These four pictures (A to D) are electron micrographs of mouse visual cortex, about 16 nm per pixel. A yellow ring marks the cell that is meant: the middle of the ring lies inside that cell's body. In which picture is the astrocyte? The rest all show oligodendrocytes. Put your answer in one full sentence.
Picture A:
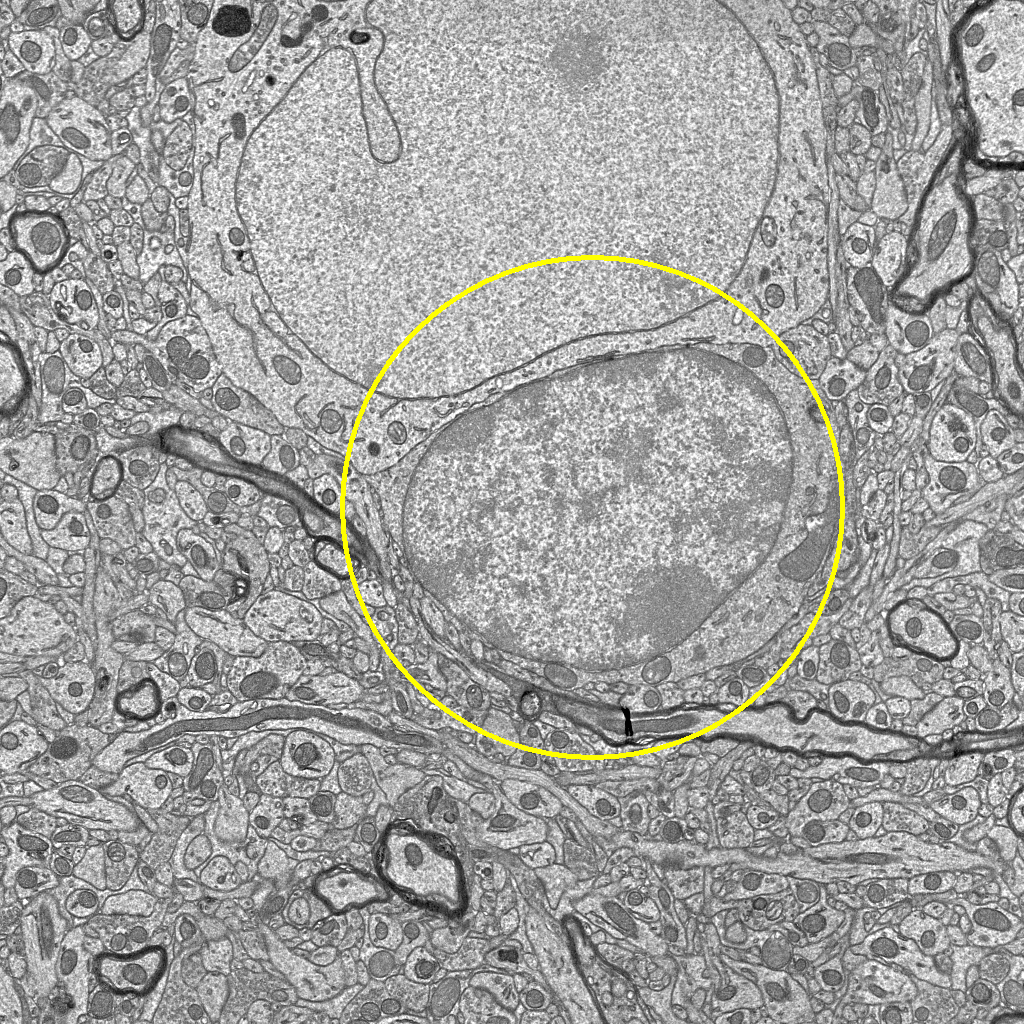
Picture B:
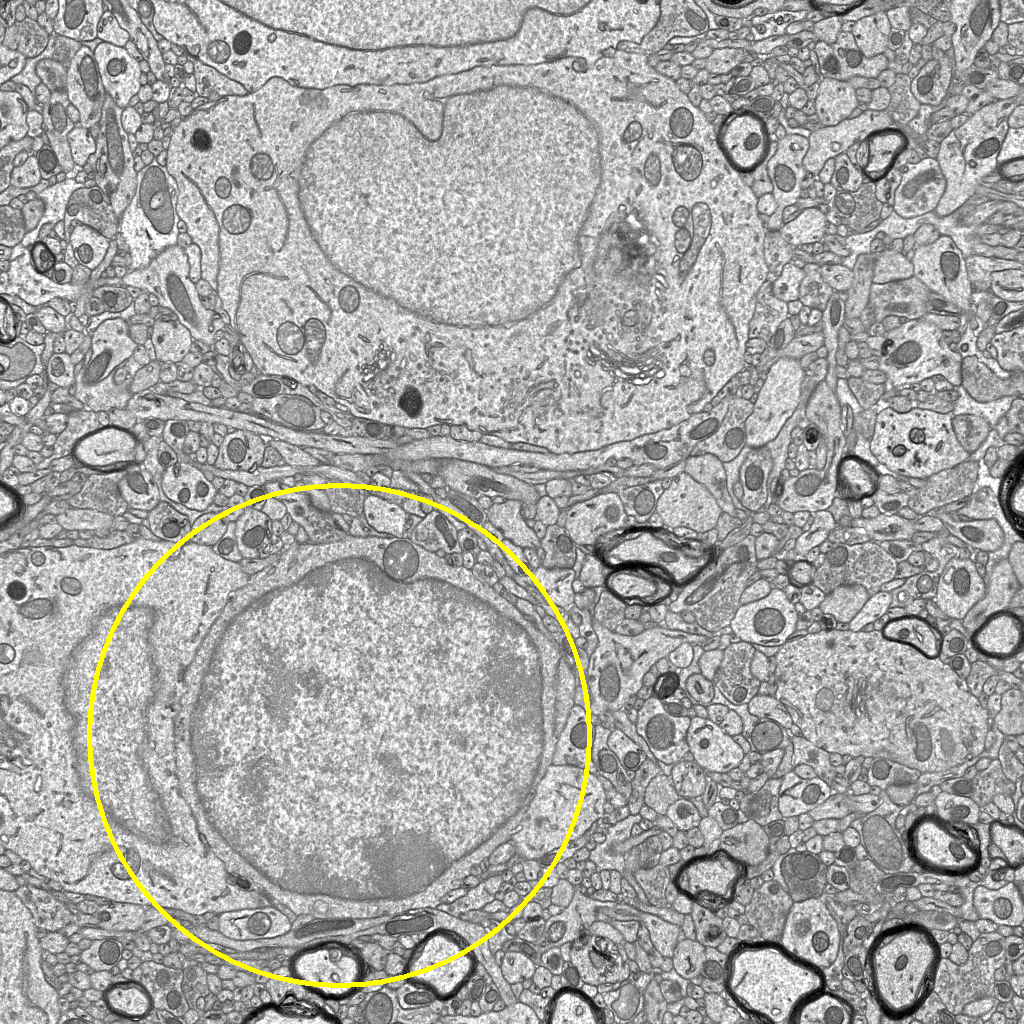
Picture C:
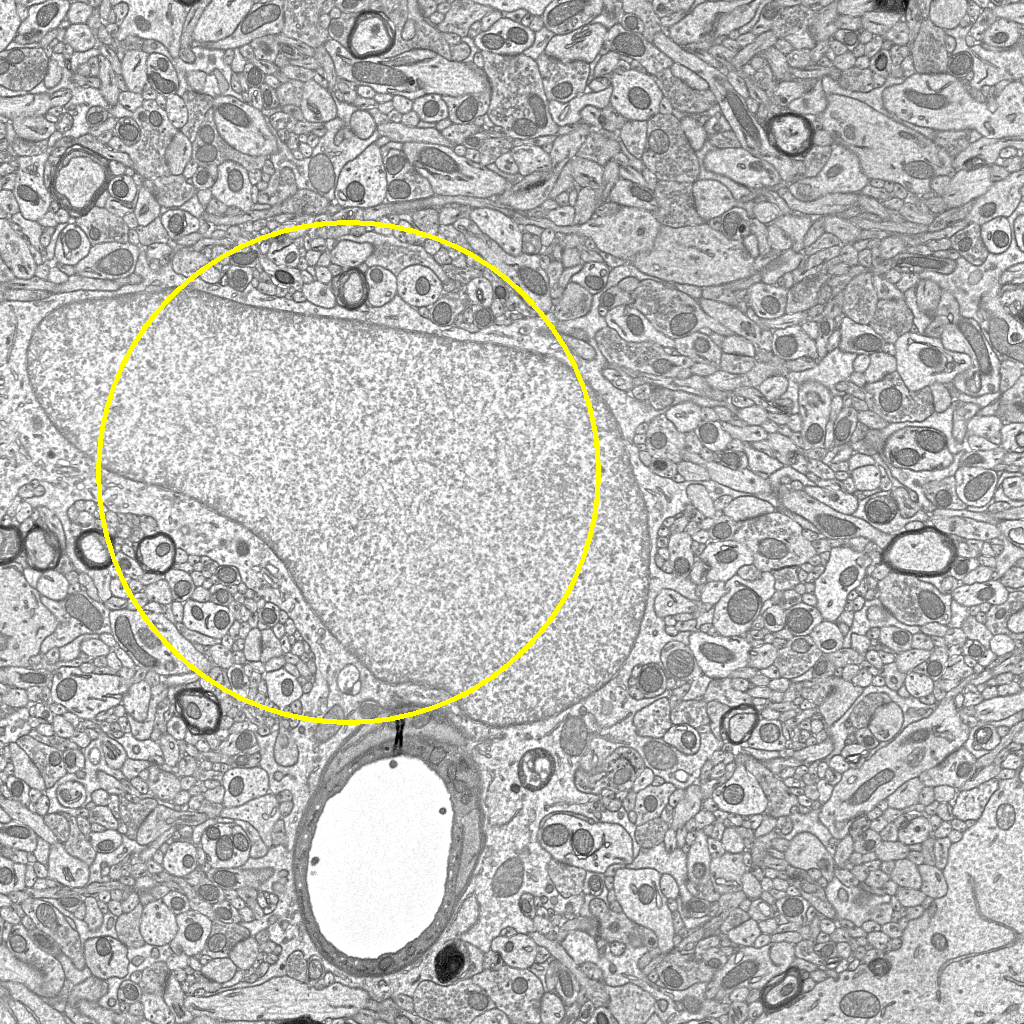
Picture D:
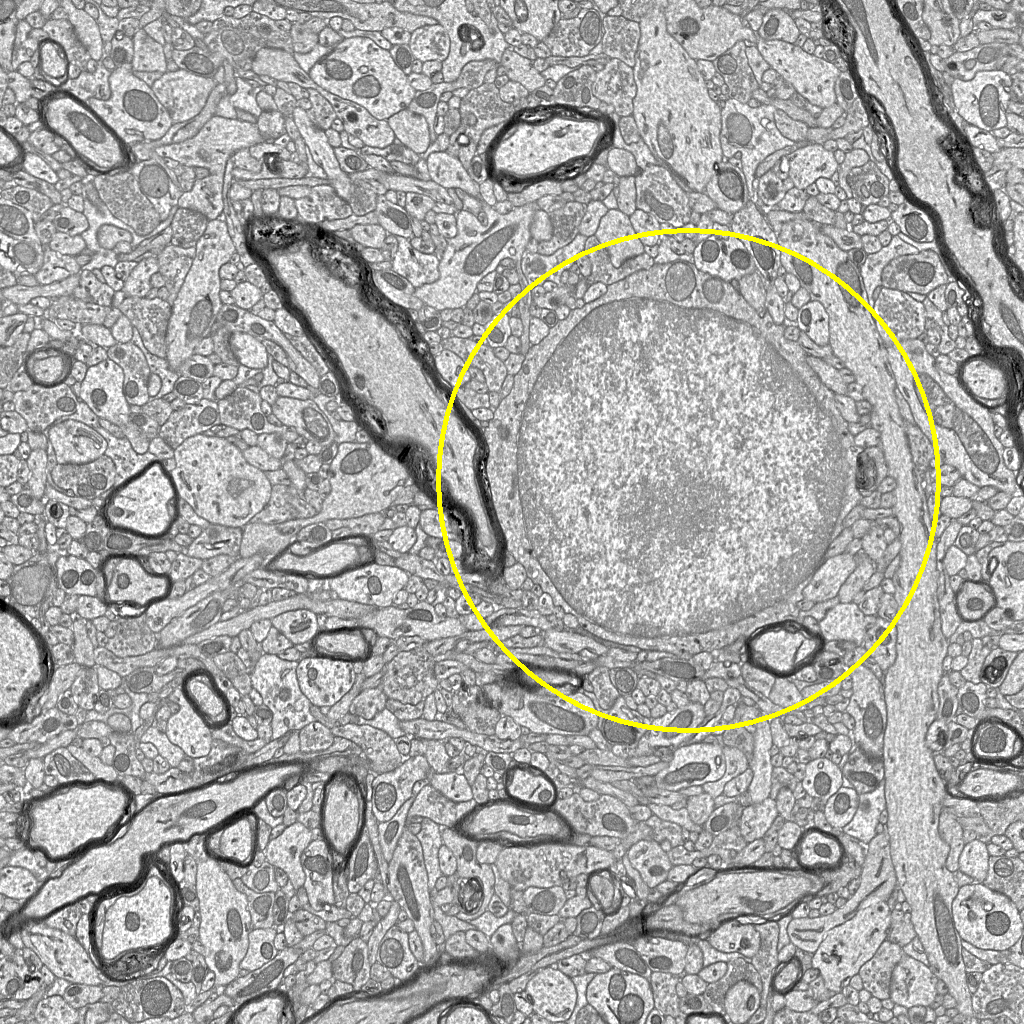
The astrocyte is the one in picture C.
